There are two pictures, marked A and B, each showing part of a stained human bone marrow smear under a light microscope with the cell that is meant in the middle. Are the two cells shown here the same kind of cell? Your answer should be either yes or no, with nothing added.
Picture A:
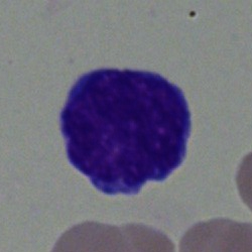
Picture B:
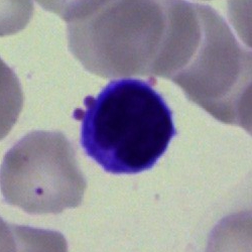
no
